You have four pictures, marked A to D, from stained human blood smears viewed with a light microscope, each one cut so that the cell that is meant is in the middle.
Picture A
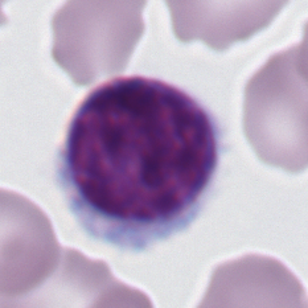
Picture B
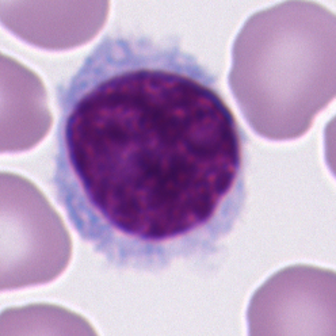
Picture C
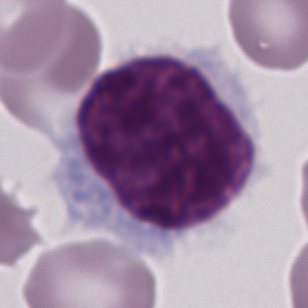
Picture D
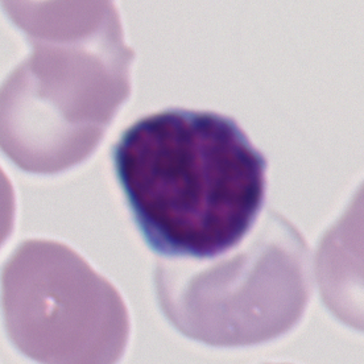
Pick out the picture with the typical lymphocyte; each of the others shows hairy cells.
D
